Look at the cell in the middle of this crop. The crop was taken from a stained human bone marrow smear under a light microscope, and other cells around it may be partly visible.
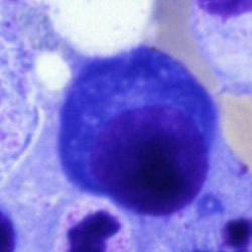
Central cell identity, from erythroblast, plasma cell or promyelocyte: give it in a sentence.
In this smear crop, the middle cell is a plasma cell.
